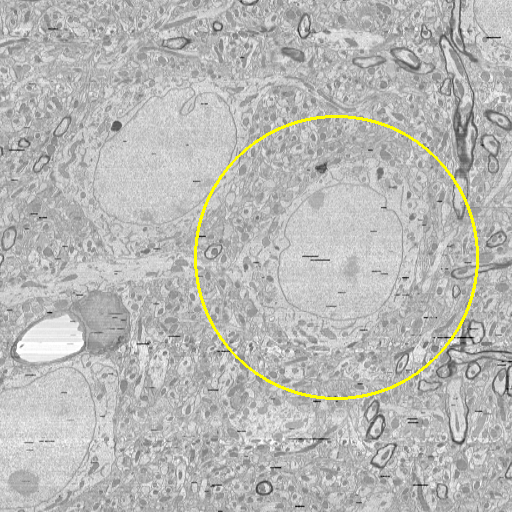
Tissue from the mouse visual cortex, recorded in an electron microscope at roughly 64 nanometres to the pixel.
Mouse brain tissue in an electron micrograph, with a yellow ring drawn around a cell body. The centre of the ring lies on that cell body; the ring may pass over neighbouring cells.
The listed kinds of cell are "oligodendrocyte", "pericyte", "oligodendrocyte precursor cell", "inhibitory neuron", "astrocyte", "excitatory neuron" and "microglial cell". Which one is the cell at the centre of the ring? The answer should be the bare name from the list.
excitatory neuron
